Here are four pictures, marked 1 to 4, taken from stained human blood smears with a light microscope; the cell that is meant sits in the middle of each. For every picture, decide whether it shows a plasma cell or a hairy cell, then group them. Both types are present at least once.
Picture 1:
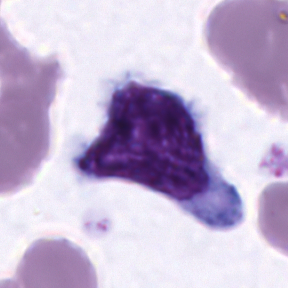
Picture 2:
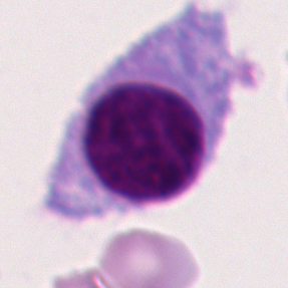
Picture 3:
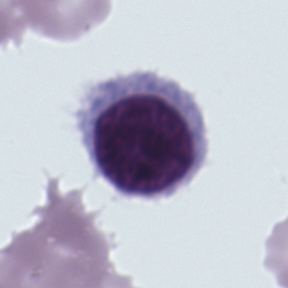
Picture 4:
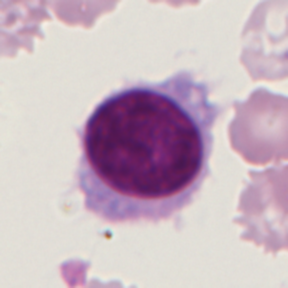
1: plasma cell
2: hairy cell
3: hairy cell
4: hairy cell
